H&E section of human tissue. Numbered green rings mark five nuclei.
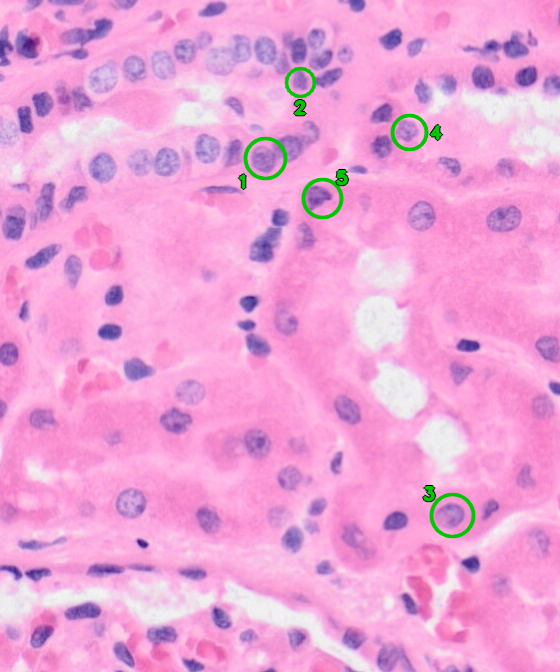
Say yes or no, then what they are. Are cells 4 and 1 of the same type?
No, cell 4 is a loop of Henle or distal tubule cell and cell 1 is a collecting duct cell.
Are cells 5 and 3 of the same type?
Yes, both are proximal tubule cells.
